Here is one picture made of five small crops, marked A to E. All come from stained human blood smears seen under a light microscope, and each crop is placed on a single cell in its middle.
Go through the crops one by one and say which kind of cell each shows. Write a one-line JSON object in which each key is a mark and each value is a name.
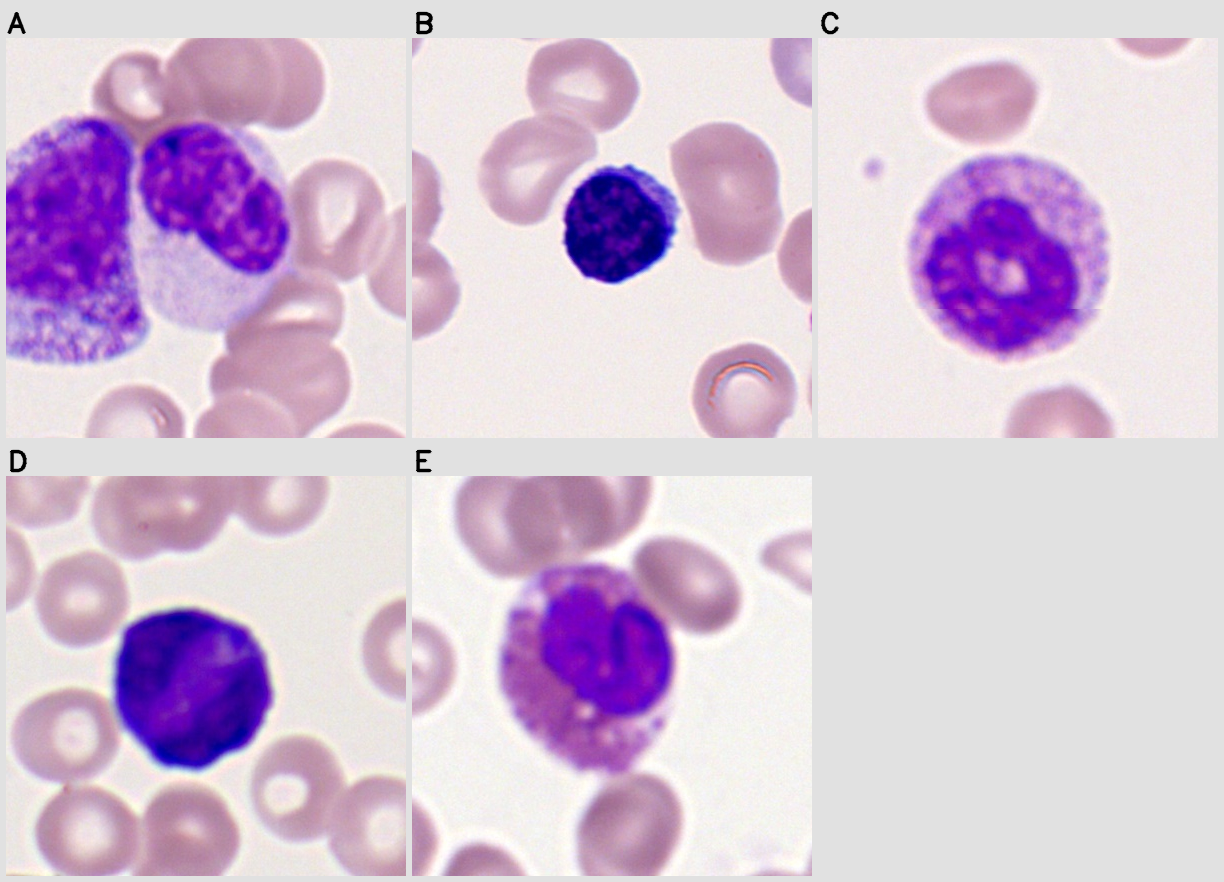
{"A": "band neutrophil", "B": "lymphocyte", "C": "band neutrophil", "D": "blast", "E": "eosinophil"}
